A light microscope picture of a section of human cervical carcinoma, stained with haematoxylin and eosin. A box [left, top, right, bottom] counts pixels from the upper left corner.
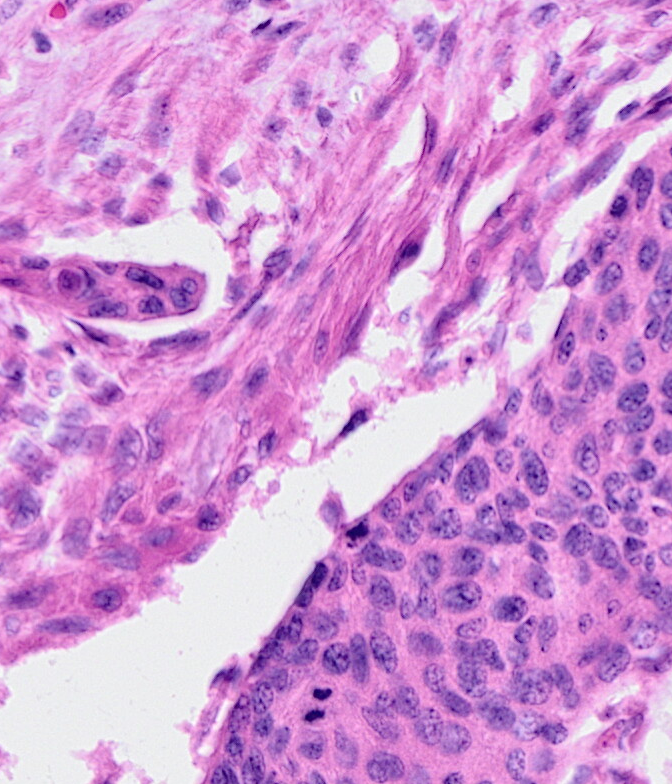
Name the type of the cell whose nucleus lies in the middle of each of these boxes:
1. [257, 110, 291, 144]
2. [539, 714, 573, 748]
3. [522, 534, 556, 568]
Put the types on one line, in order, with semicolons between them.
fibroblast; squamous carcinoma cell; squamous carcinoma cell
